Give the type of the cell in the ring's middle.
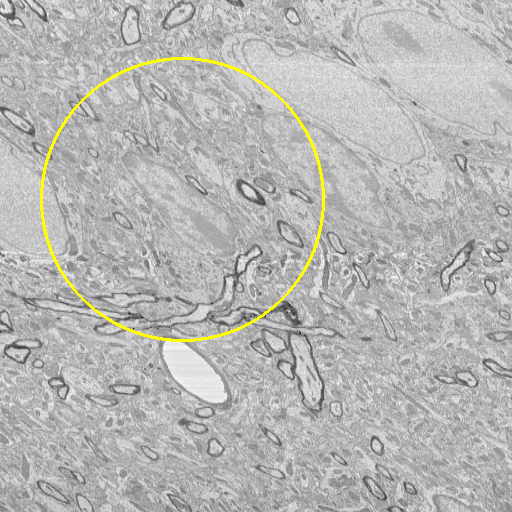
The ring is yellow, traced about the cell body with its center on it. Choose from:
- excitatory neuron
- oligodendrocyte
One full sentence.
Here, an oligodendrocyte is the cell lying at the center of the yellow ring.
